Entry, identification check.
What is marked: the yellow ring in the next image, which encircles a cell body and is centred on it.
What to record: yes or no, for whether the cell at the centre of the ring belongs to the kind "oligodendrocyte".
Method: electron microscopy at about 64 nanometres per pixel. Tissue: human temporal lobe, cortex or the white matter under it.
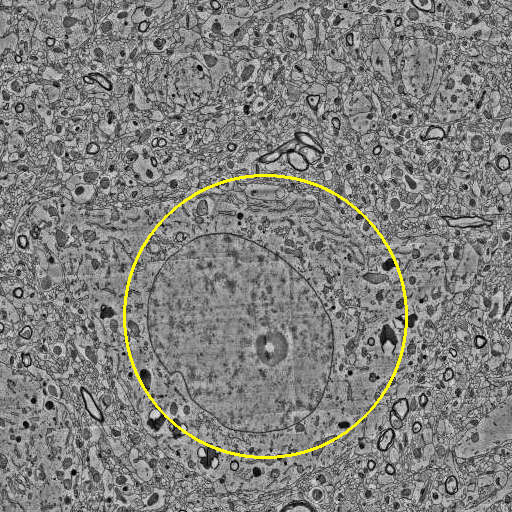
No, it belongs to another kind.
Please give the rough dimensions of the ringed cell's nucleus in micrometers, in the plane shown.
In this plane the nucleus measures roughly 14 by 11 micrometers.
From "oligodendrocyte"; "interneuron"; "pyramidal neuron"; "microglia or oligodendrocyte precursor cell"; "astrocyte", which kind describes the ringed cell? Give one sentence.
The correct answer is that the cell is a pyramidal neuron.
